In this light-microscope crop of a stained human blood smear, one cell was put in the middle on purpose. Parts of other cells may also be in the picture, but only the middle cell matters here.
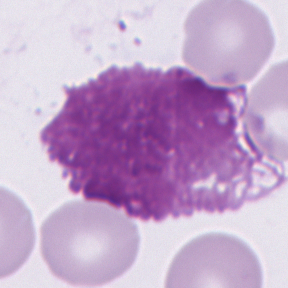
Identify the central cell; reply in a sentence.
This crop is built around a smudge cell at its centre.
